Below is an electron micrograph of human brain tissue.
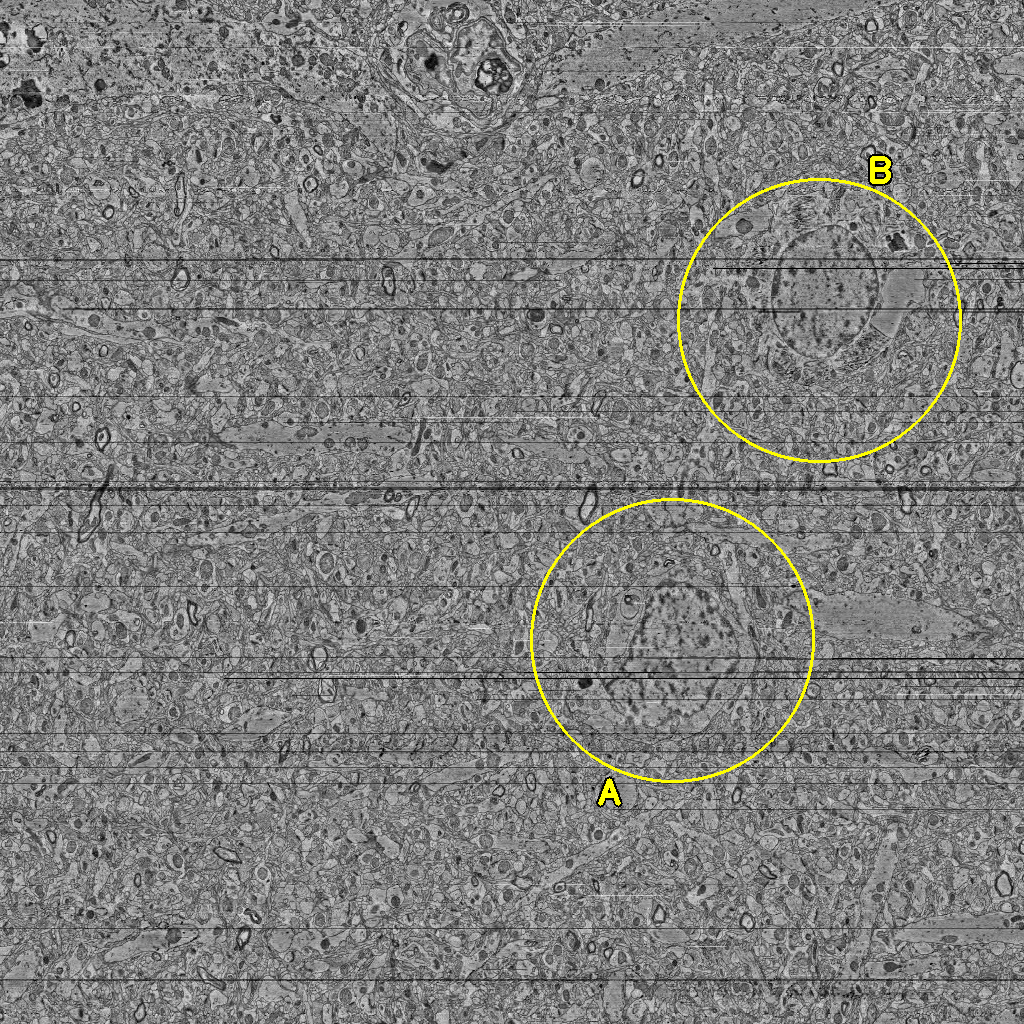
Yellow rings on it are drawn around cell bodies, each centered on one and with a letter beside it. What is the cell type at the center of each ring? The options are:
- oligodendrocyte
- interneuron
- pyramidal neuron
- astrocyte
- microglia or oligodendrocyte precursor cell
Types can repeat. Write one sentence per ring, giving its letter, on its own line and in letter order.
At the center of ring A is an interneuron.
At the center of ring B is an astrocyte.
